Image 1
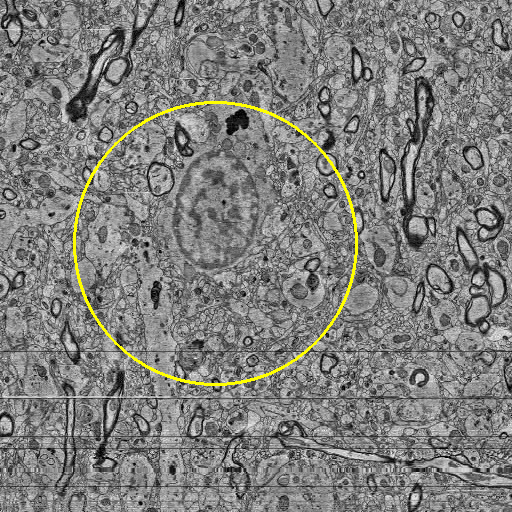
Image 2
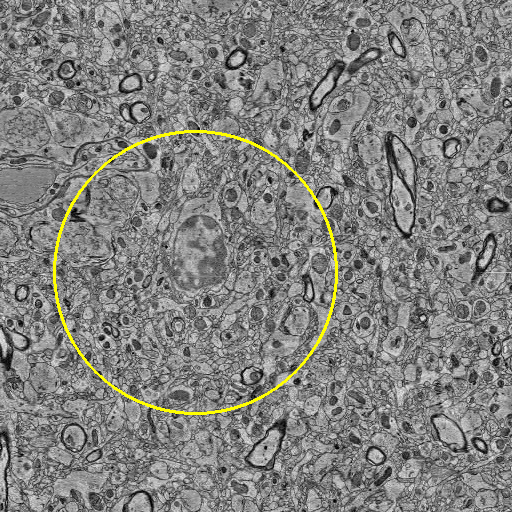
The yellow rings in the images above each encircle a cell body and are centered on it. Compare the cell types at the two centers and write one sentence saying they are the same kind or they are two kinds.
Taken together, the two cells at the ring centers are two kinds.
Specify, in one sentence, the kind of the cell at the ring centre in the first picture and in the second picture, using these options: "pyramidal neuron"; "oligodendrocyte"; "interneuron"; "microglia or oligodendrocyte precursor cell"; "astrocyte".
So the first is an oligodendrocyte, the second a microglial cell or oligodendrocyte precursor cell.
